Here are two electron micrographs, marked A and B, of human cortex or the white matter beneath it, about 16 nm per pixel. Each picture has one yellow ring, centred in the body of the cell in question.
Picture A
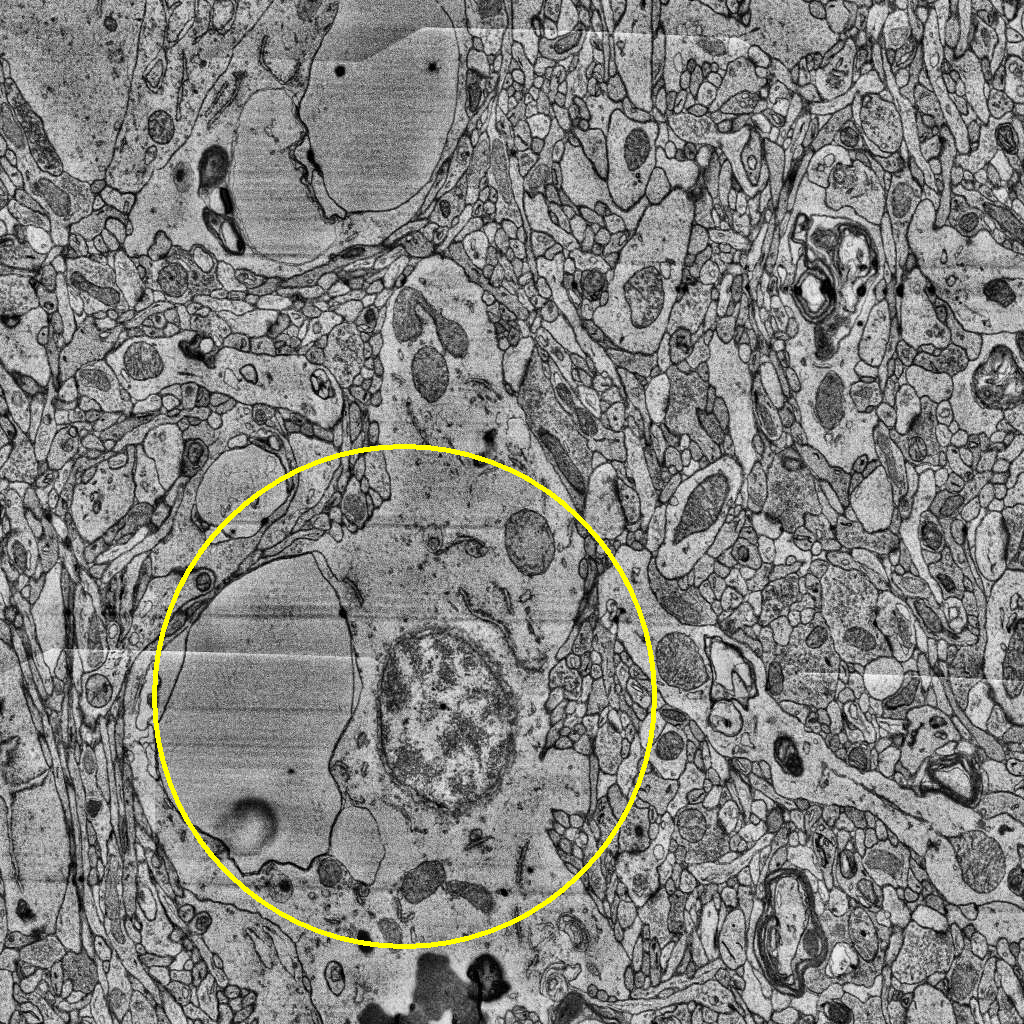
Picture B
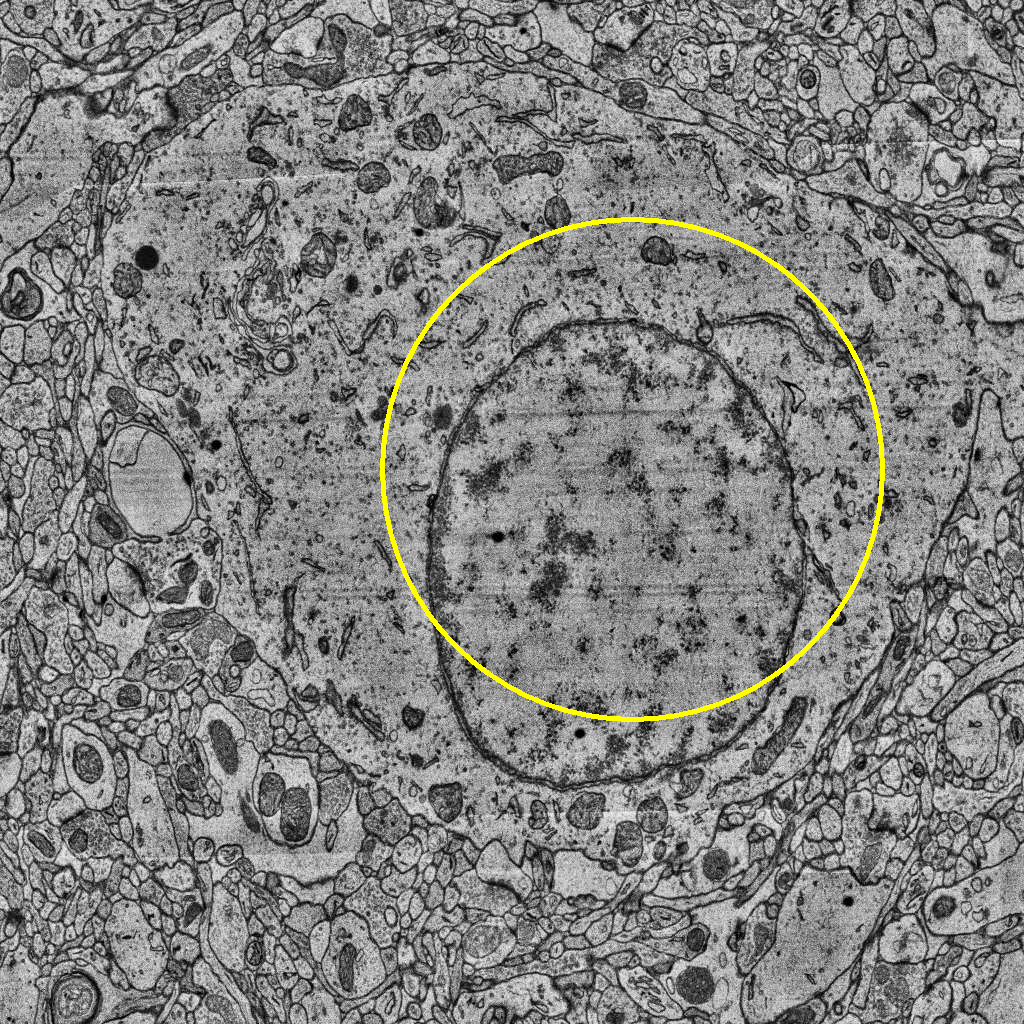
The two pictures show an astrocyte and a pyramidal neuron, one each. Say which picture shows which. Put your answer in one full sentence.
The cell in picture A is an astrocyte, and the one in picture B is a pyramidal neuron.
